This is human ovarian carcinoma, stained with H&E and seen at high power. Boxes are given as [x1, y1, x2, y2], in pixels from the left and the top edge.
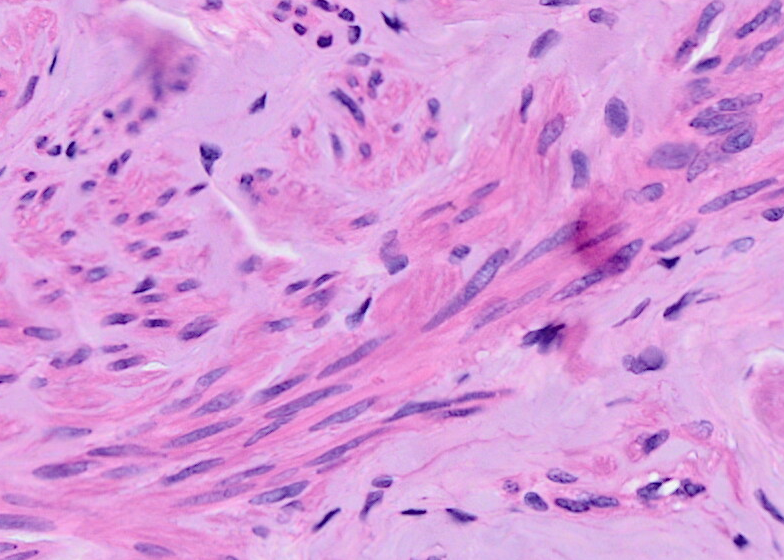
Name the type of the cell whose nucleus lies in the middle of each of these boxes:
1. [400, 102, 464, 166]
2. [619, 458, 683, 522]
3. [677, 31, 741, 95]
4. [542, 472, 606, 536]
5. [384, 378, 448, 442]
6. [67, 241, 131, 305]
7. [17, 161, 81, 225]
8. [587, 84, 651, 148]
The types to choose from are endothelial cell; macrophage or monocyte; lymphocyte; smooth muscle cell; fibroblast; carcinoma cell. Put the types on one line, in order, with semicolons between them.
smooth muscle cell; endothelial cell; smooth muscle cell; endothelial cell; smooth muscle cell; smooth muscle cell; smooth muscle cell; fibroblast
